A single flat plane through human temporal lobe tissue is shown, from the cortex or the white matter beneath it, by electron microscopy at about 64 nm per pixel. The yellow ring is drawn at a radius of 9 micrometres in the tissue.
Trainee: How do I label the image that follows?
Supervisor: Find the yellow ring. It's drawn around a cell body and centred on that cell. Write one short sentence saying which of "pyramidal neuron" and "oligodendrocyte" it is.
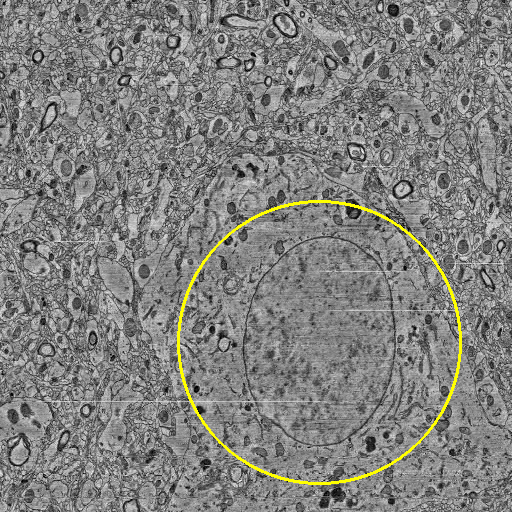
This is the cell body of a pyramidal neuron.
